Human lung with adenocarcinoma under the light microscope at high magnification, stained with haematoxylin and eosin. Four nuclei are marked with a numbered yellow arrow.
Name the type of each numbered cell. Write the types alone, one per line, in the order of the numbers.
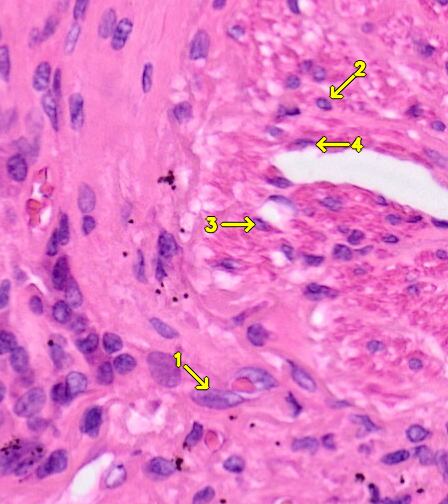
endothelial cell
smooth muscle cell or pericyte
smooth muscle cell or pericyte
smooth muscle cell or pericyte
